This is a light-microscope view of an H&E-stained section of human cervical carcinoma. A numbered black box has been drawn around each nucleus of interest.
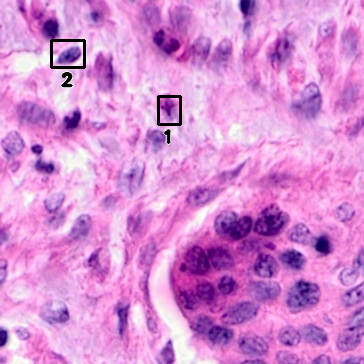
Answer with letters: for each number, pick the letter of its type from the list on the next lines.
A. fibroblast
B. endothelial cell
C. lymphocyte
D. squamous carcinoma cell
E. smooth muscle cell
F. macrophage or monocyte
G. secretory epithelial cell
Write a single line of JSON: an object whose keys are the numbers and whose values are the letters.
{"1": "A", "2": "C"}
